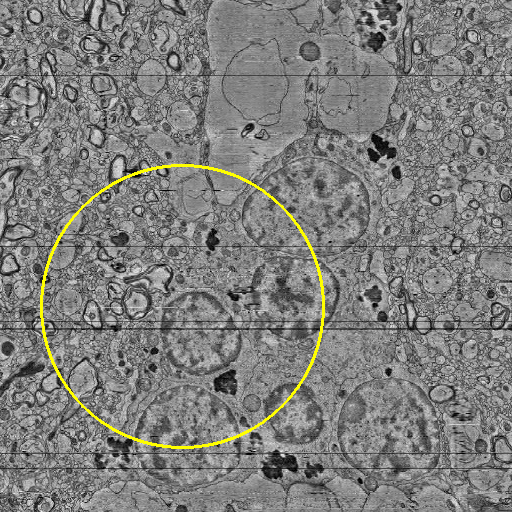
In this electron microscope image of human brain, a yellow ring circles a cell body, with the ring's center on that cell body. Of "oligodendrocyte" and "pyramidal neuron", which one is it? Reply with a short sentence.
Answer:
It is an oligodendrocyte at the center of the ring.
